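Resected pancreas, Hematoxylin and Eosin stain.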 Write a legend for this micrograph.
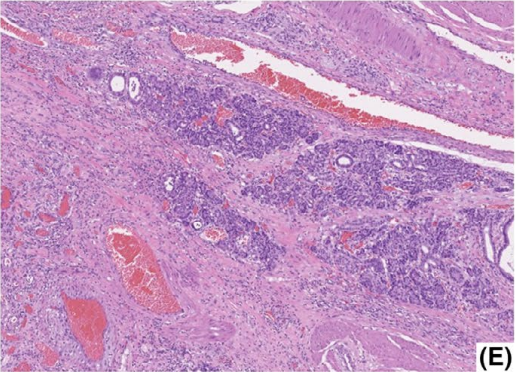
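Small, shrunken clusters of purple glandular acinar cells with a few small ducts lie scattered in pink fibrous stroma, with dilated vessels full of red blood cells running alongside. Scattered small dark nuclei of inflammatory cells are sprinkled in the stroma between the lobules. This is atrophic pancreatic tissue with inflammatory cell infiltration beside abnormal vessels.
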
